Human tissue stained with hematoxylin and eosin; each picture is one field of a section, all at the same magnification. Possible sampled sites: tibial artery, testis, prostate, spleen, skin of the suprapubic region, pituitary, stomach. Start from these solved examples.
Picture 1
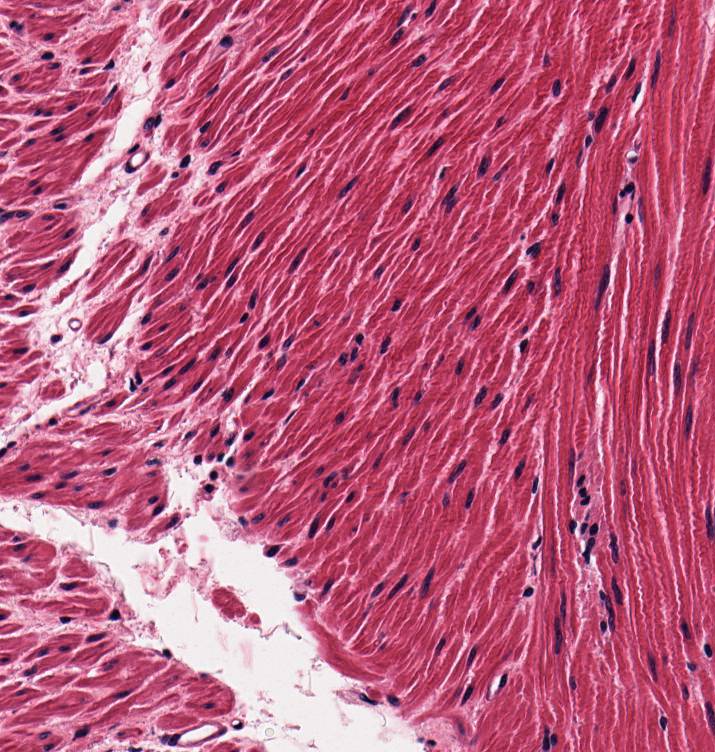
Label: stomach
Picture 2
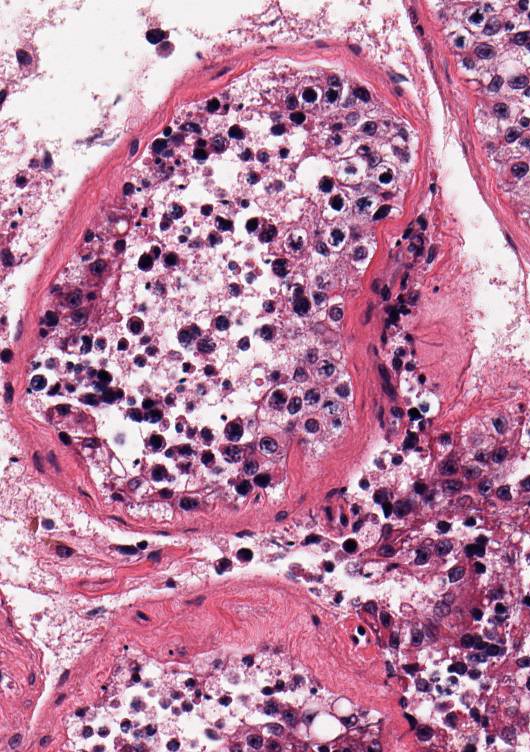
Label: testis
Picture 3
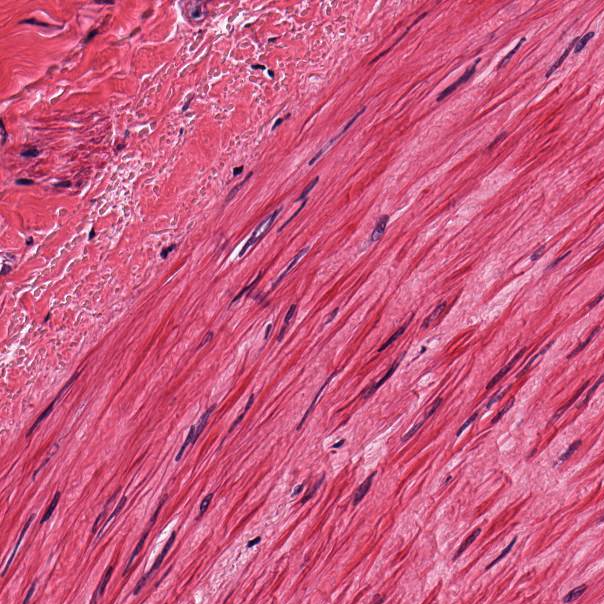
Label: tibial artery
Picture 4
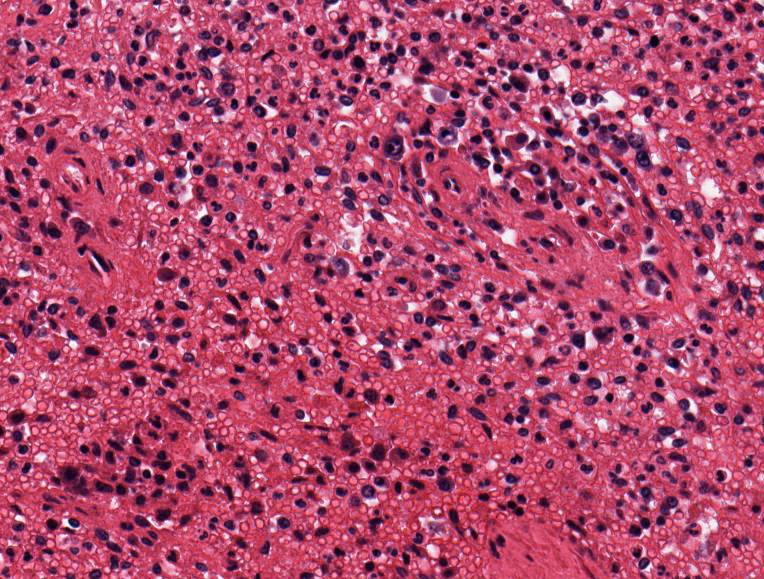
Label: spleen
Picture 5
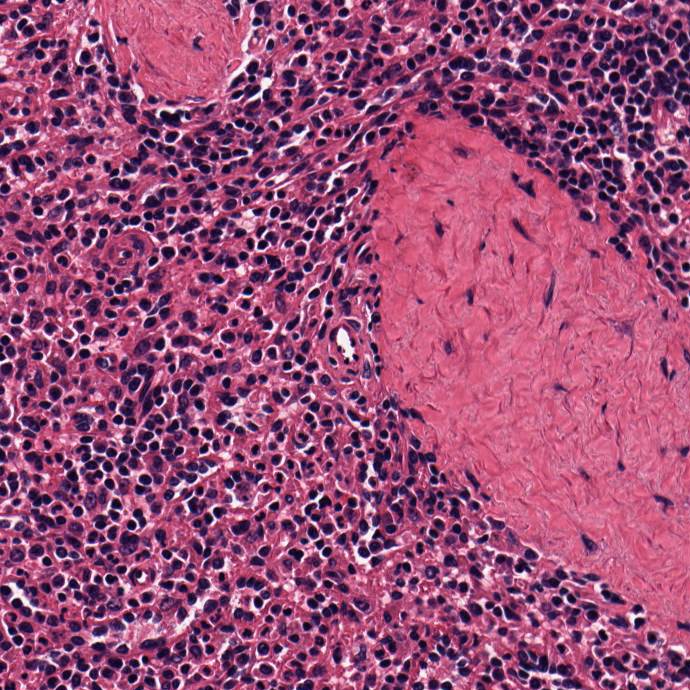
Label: spleen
